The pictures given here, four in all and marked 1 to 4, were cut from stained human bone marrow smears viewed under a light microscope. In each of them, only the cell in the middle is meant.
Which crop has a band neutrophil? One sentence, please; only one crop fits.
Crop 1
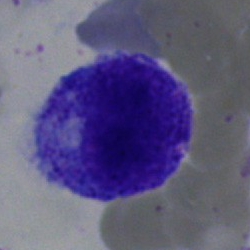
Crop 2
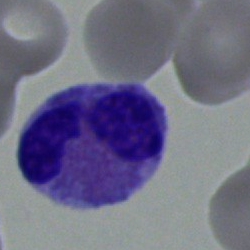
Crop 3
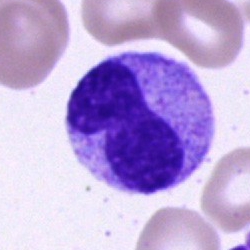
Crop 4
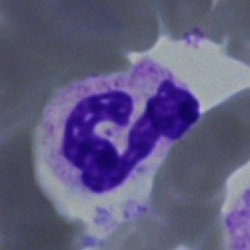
Crop 3 is the crop that shows a band neutrophil in its middle.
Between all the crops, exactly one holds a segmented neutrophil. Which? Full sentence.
Of all the crops, crop 4 is the one showing a segmented neutrophil.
